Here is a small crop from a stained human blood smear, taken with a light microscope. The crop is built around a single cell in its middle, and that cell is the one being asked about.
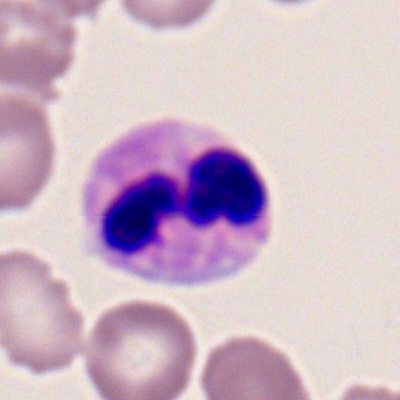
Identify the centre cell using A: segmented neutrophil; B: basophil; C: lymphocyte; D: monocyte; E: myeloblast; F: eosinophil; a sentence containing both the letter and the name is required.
Of the choices given, option A is right, as the central cell is a segmented neutrophil.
